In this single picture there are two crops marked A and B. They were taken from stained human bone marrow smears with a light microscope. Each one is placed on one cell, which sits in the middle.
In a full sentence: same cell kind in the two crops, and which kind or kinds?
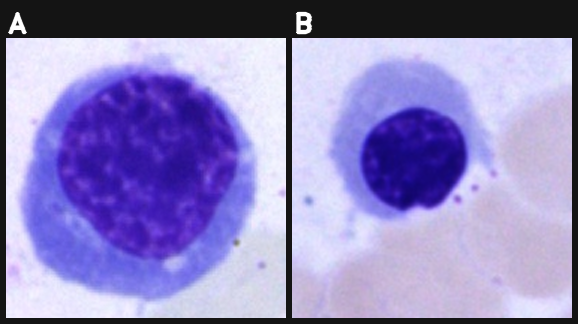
Yes, the two crops show erythroblasts, one cell each.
